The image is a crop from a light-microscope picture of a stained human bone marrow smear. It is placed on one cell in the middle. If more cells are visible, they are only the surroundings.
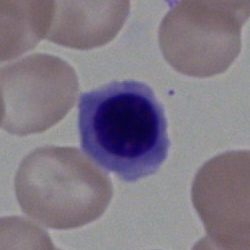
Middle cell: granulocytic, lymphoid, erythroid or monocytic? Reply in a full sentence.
The cell right in the center of the crop is part of the erythroid line.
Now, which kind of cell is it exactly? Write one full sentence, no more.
The target cell in the middle of the crop is an erythroblast.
